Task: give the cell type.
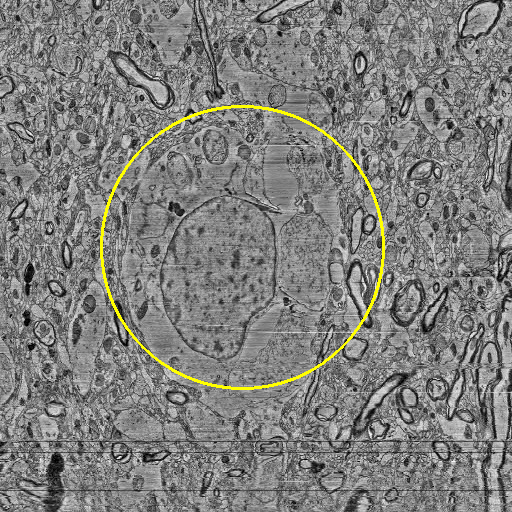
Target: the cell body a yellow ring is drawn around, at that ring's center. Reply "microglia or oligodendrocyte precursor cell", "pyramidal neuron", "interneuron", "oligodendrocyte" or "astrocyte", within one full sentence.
In this picture, the cell whose body lies at the ring's center is an astrocyte.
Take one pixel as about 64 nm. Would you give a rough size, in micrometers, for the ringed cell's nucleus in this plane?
Roughly 11 by 7 micrometres is the size of the nucleus in this plane.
